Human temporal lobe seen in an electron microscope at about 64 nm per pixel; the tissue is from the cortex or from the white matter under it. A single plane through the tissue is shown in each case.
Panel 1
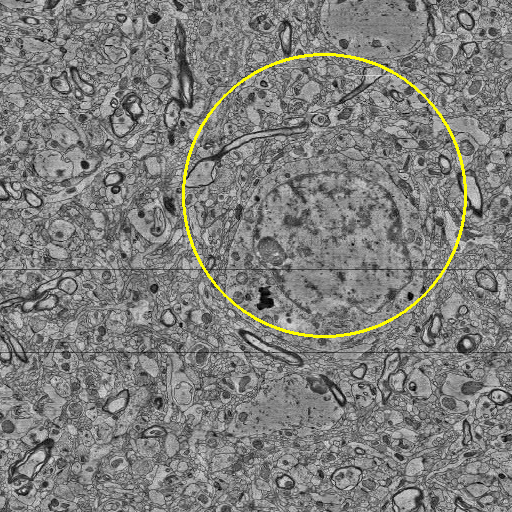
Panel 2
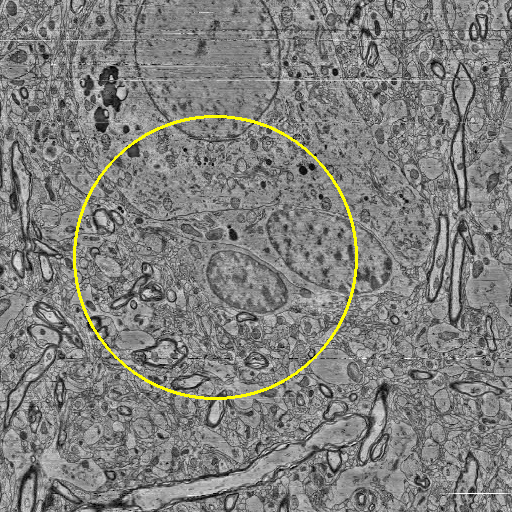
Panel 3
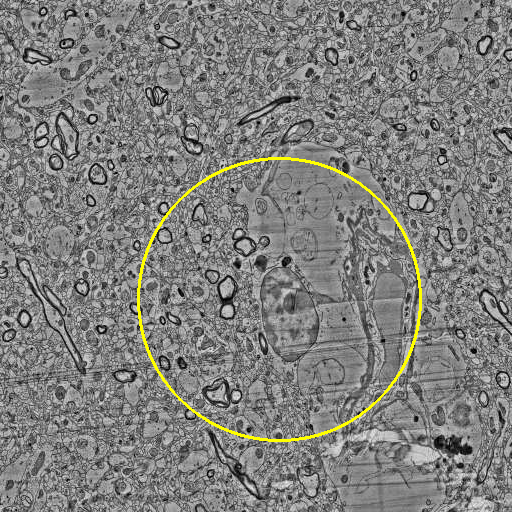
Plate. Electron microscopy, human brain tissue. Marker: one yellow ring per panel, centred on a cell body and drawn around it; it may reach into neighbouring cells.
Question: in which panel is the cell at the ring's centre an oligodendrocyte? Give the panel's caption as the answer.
Panel 2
